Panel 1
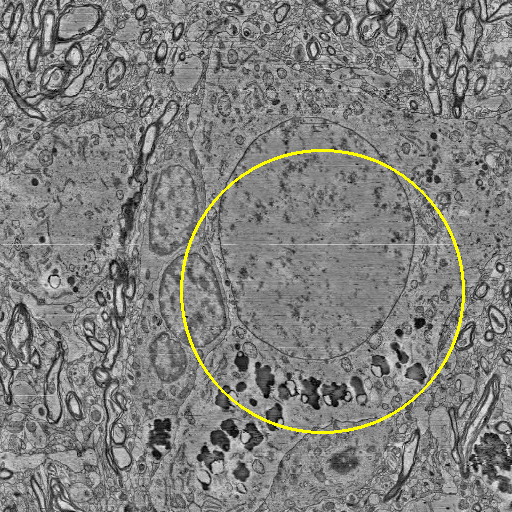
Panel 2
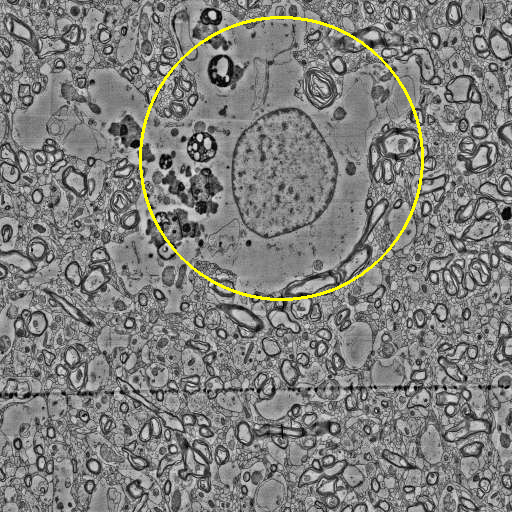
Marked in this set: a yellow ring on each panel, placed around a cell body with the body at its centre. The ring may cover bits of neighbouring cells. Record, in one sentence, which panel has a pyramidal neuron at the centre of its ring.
Panel 1 has it at the centre of its ring.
